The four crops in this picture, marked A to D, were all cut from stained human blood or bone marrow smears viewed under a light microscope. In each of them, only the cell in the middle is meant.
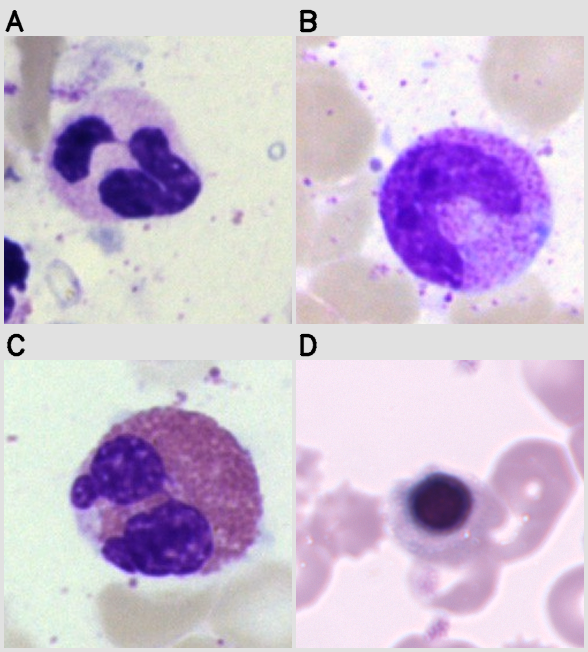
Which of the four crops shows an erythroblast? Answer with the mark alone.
D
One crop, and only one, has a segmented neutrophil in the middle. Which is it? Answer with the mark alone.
A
